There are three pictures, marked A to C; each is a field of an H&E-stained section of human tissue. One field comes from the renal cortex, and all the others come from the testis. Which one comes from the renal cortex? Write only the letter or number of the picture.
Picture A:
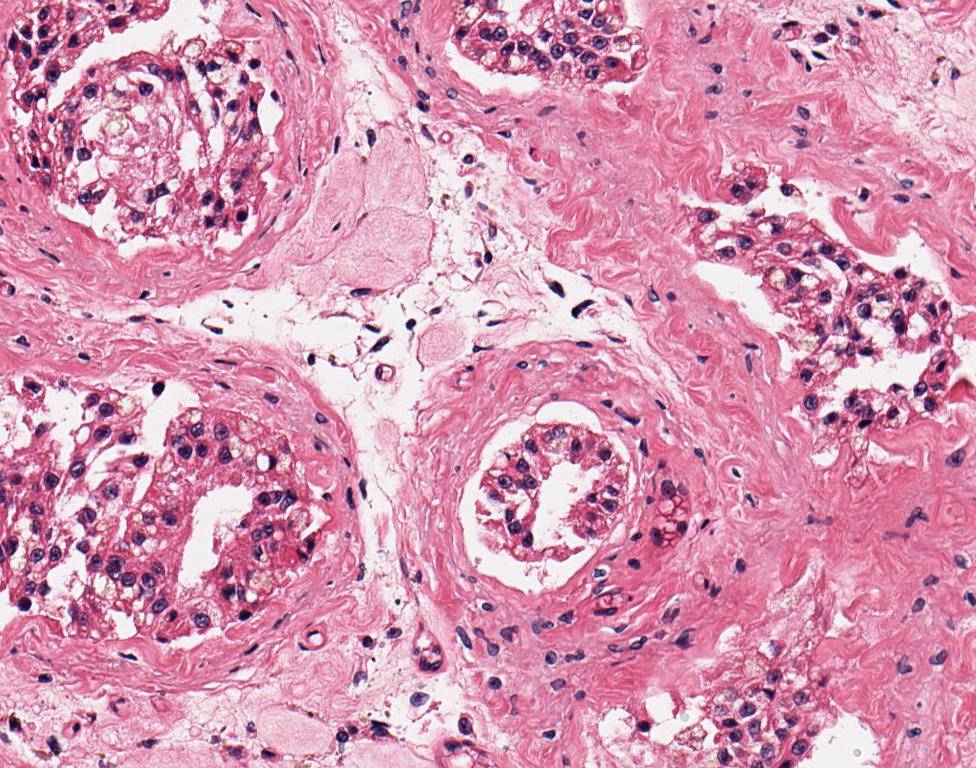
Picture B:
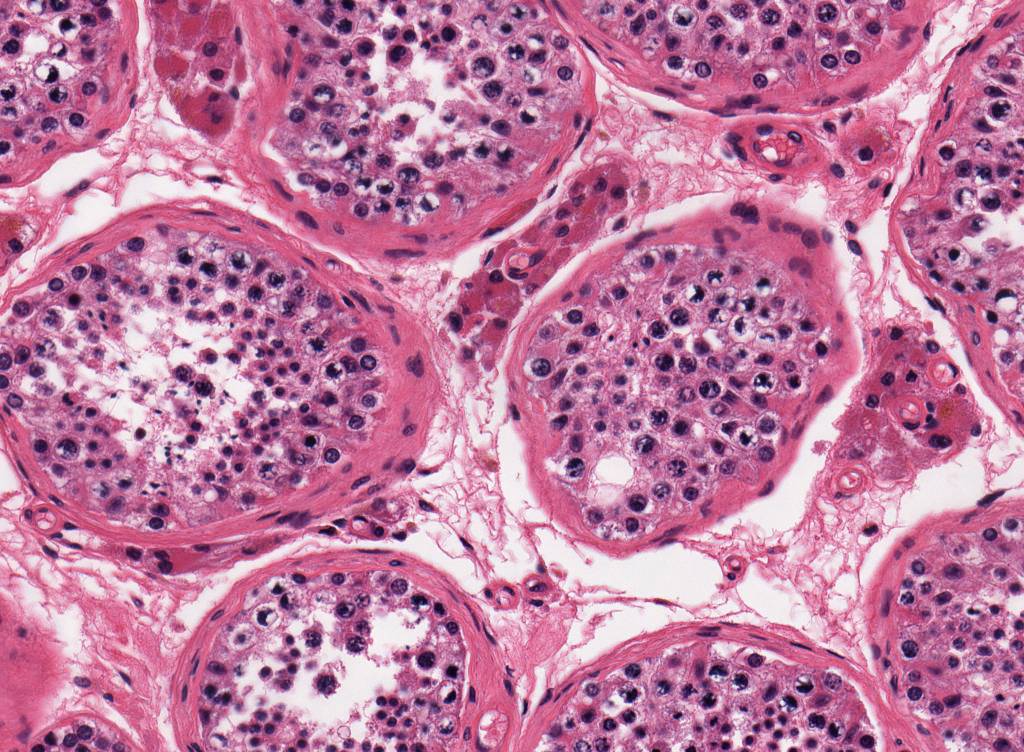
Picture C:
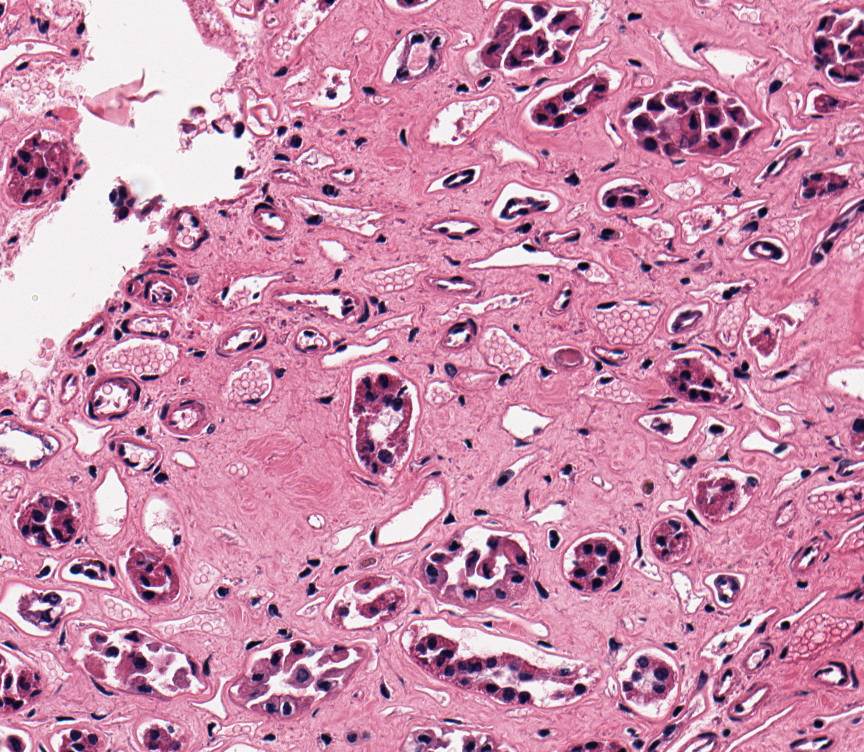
C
